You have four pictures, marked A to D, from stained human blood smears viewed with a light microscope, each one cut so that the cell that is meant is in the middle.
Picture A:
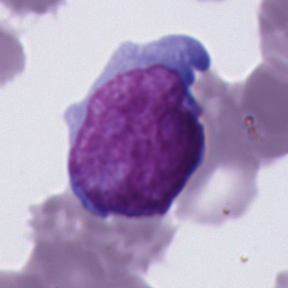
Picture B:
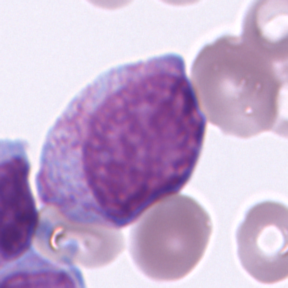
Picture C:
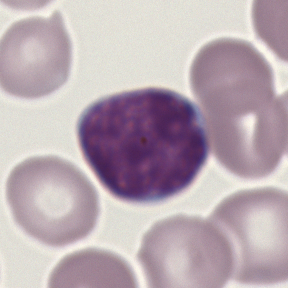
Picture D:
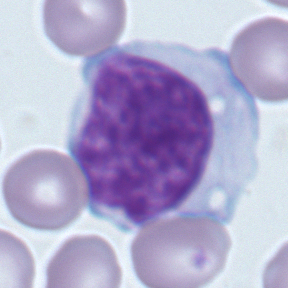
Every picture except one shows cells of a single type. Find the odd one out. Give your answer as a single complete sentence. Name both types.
The others show myeloblasts, but picture B shows an atypical promyelocyte.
